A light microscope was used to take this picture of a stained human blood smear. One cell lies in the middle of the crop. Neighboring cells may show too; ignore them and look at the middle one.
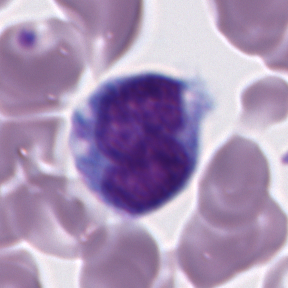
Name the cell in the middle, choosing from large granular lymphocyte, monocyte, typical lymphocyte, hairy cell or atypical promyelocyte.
monocyte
